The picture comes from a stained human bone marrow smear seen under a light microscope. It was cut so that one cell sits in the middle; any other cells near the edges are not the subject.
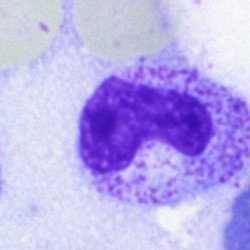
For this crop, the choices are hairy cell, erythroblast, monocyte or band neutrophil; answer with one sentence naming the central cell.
Classification of the middle cell gives a band neutrophil.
